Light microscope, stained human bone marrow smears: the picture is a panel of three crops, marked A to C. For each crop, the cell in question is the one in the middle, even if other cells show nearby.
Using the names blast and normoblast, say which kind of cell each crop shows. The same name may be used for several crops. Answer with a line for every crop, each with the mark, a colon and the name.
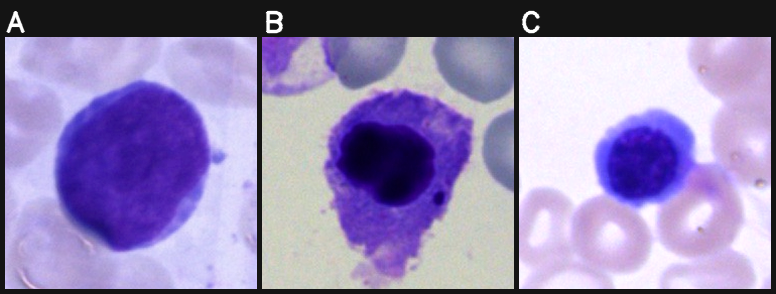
A: blast
B: normoblast
C: normoblast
